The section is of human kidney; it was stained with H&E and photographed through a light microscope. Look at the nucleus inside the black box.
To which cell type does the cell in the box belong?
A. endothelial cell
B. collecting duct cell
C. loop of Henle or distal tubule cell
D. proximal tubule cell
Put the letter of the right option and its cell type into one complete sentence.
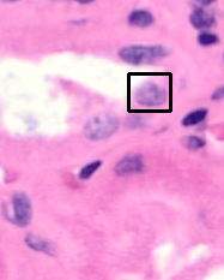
The accurate option is C, with the cell in the box being a loop of Henle or distal tubule cell.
